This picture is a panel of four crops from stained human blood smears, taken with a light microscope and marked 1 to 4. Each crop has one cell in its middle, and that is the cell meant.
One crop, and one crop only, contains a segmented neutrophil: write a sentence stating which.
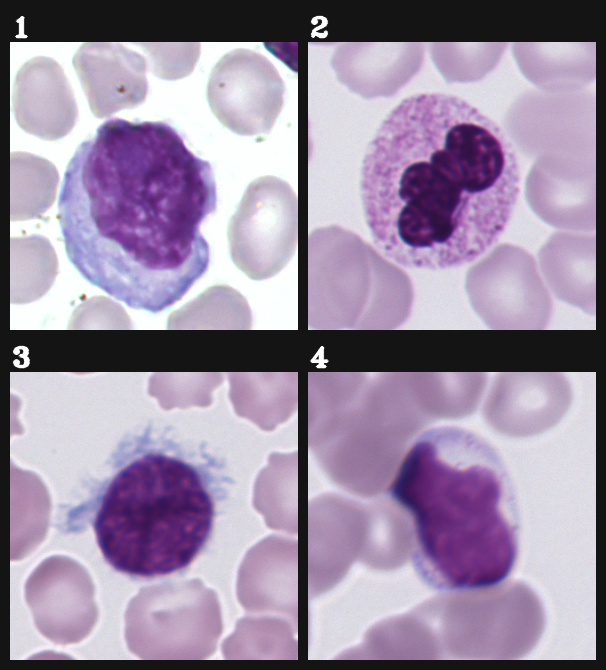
That would be crop 2; it shows a segmented neutrophil.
